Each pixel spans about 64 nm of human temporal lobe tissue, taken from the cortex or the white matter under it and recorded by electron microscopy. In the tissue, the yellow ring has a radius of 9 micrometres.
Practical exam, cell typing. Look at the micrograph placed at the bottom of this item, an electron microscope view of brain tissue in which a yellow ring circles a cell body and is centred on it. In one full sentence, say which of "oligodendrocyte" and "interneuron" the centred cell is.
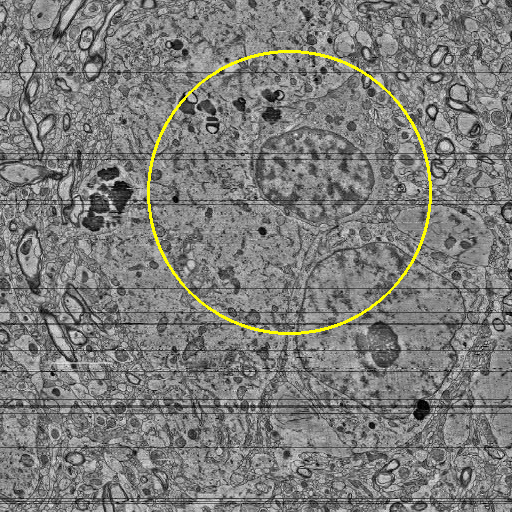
Given the options, an oligodendrocyte fits the cell whose body the yellow ring is centred on.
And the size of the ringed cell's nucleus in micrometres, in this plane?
In this plane the nucleus measures roughly 8 by 6 micrometers.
